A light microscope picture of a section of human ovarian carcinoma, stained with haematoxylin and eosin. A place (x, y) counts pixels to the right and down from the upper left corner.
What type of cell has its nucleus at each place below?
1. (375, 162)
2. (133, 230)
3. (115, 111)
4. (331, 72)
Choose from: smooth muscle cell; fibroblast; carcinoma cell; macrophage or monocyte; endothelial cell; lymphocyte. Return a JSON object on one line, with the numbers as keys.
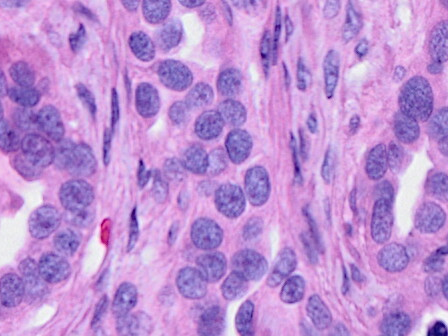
{"1": "carcinoma cell", "2": "fibroblast", "3": "fibroblast", "4": "fibroblast"}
